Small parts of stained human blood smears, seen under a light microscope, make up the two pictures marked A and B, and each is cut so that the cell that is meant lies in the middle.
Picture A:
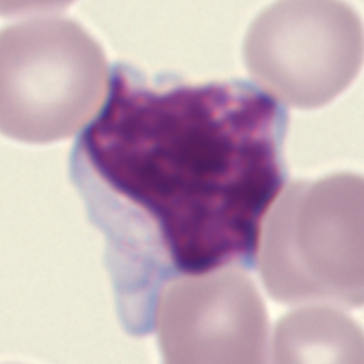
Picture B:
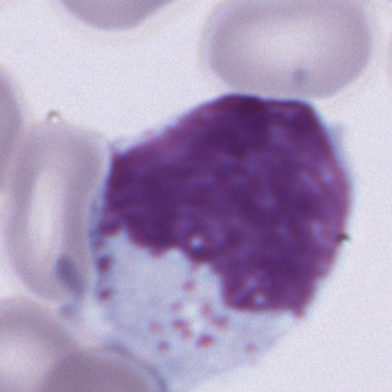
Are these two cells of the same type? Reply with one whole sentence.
Yes, the two pictures both show large granular lymphocytes.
